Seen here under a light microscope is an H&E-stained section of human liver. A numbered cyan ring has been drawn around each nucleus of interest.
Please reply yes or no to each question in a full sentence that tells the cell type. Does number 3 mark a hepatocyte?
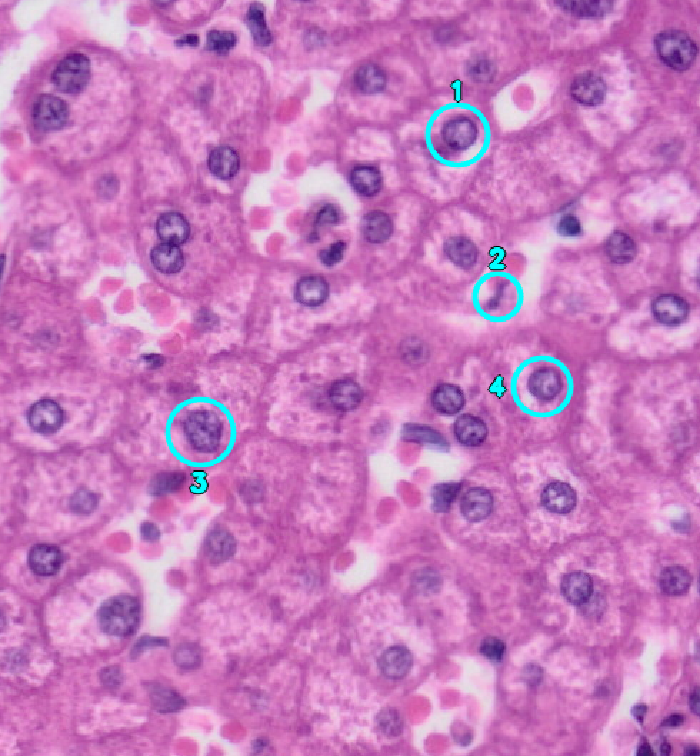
Yes, exactly, the cell numbered 3 is a hepatocyte.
